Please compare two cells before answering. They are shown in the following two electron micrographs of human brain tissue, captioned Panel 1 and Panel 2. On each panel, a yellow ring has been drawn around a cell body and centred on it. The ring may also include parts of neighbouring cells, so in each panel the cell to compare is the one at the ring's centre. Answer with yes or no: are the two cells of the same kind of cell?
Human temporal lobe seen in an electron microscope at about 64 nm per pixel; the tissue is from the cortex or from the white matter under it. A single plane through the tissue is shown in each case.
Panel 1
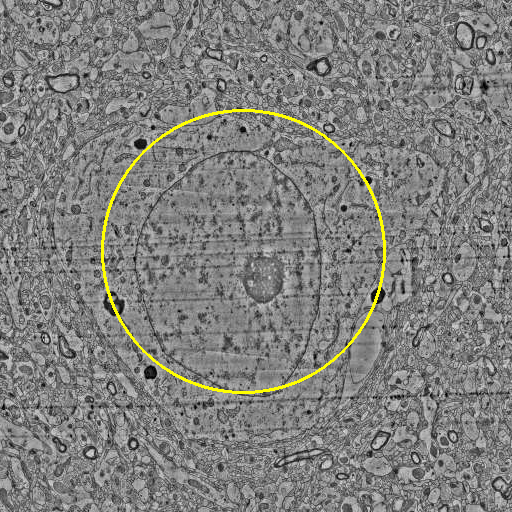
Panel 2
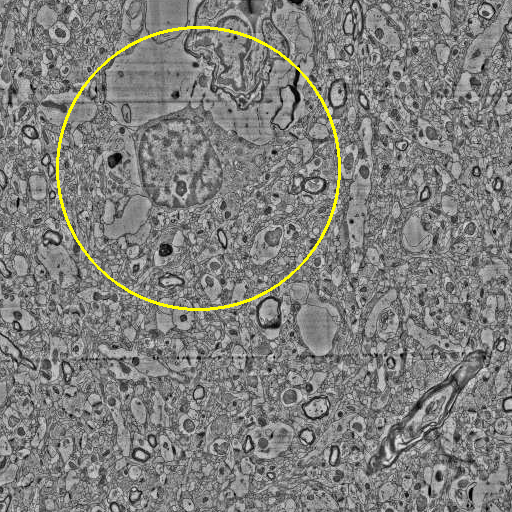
no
